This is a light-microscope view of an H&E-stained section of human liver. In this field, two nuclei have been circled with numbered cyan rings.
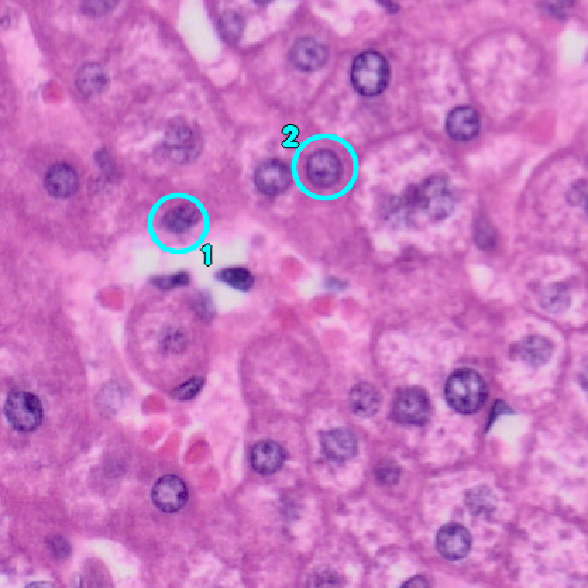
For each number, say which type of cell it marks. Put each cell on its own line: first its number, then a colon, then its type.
1: fibroblast or stellate cell
2: hepatocyte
